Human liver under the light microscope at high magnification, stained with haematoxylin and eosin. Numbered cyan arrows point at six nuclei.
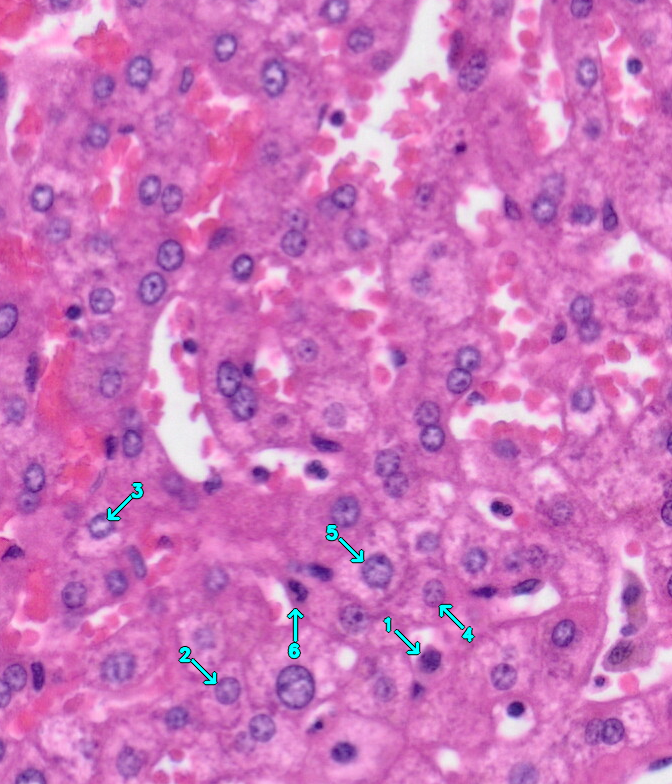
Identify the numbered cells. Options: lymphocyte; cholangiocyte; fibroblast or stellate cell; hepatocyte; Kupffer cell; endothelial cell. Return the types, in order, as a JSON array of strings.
["Kupffer cell", "hepatocyte", "hepatocyte", "hepatocyte", "hepatocyte", "Kupffer cell"]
